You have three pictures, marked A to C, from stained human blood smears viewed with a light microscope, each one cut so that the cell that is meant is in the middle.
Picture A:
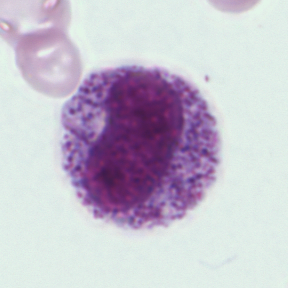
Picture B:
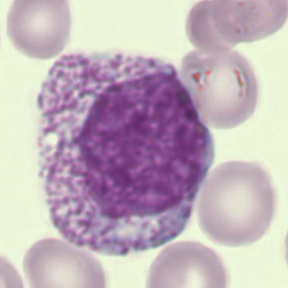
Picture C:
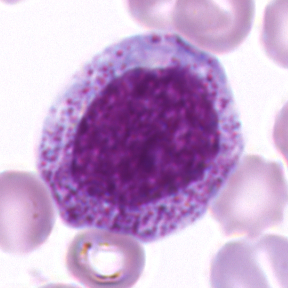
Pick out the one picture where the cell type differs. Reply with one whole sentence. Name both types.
Picture A is the odd one out: it shows a metamyelocyte, while the others show promyelocytes.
